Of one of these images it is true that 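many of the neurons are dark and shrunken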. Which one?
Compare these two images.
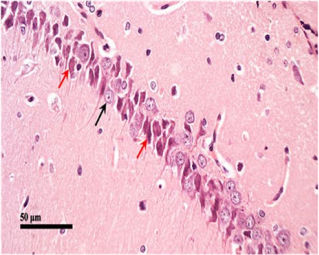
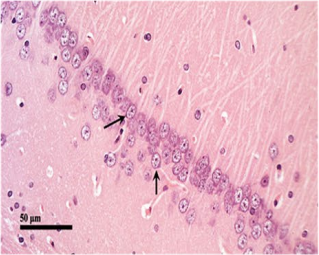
The first image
